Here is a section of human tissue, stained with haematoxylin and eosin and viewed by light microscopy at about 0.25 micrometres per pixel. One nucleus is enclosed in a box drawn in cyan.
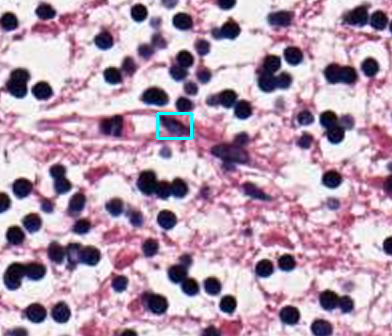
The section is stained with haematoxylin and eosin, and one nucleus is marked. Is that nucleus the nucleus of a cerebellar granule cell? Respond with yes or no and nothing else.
no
